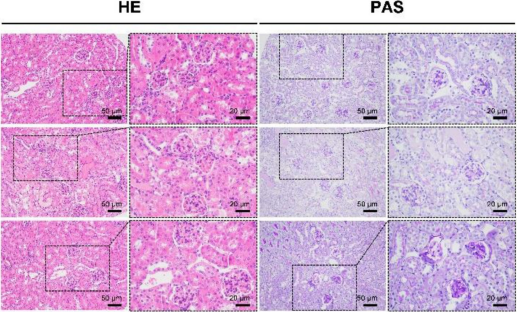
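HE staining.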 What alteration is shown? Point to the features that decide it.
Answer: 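Renal tubular injury. Other sections show intact, tightly packed tubules around glomeruli.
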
